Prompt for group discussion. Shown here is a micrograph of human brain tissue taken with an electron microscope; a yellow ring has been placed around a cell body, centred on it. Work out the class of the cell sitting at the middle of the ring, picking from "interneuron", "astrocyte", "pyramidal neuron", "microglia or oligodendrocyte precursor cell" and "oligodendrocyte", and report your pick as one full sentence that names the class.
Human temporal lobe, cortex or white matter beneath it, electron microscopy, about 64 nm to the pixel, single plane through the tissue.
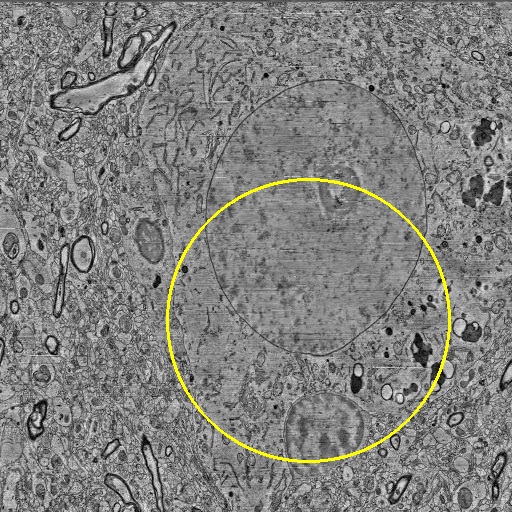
The cell sitting at the middle of the yellow ring is a pyramidal neuron.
